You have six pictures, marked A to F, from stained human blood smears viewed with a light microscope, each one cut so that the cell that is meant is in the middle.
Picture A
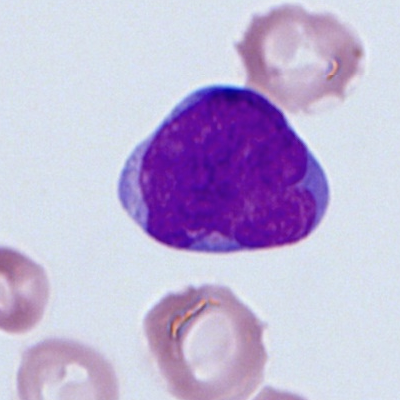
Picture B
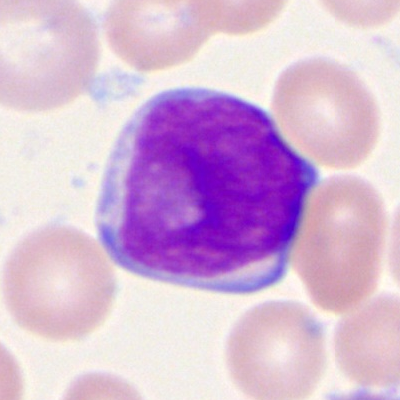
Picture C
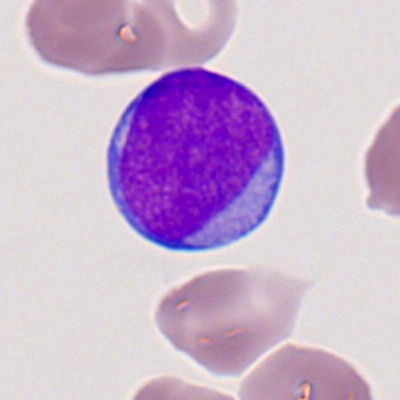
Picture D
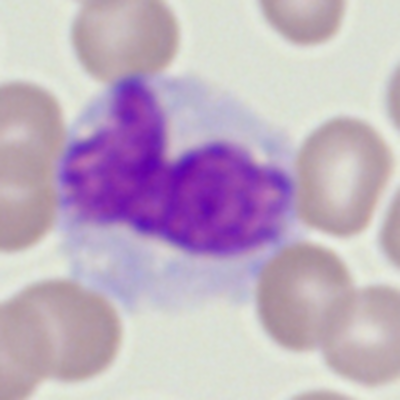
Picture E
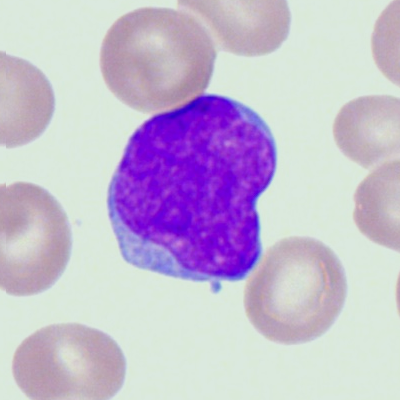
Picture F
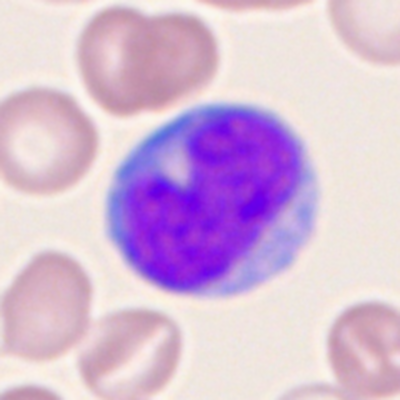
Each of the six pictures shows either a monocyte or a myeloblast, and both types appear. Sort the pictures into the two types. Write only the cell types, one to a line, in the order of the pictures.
myeloblast
myeloblast
myeloblast
monocyte
myeloblast
monocyte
